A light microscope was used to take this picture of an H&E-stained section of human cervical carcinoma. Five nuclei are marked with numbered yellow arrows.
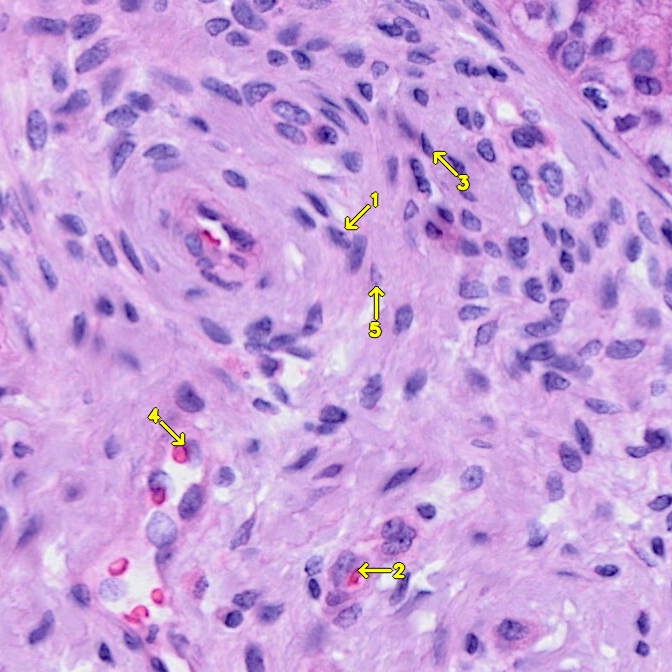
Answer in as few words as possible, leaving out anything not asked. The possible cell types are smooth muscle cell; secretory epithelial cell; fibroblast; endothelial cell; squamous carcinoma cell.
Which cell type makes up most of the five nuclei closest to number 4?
endothelial cell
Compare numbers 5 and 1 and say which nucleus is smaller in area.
5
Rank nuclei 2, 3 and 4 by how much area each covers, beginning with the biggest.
2, 4, 3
